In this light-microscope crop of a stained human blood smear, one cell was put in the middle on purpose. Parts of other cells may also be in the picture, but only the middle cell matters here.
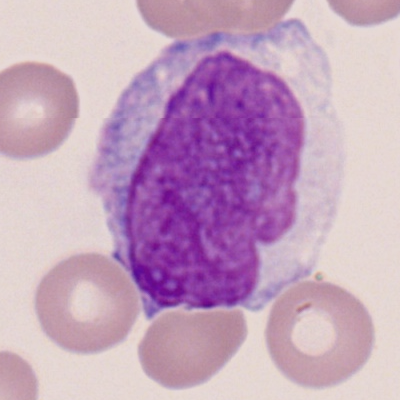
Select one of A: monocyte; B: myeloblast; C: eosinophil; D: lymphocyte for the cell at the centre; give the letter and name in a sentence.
Option A is correct, naming the cell in the middle as a monocyte.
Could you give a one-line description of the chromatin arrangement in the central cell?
The chromatin is fine, with no coarse clumping anywhere.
